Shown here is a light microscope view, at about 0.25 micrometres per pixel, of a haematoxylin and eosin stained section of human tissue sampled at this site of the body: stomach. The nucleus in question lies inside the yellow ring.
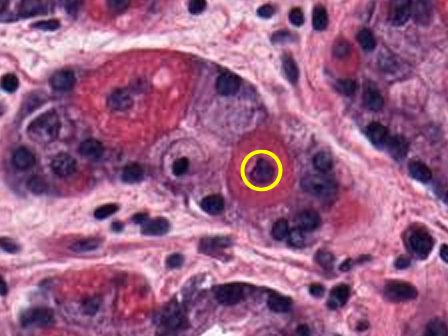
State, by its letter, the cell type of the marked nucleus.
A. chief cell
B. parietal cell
B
